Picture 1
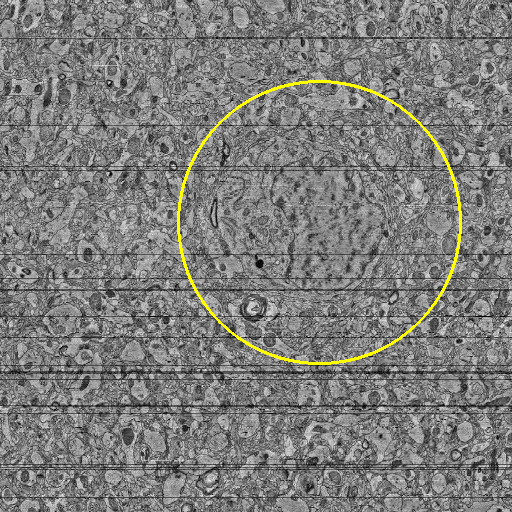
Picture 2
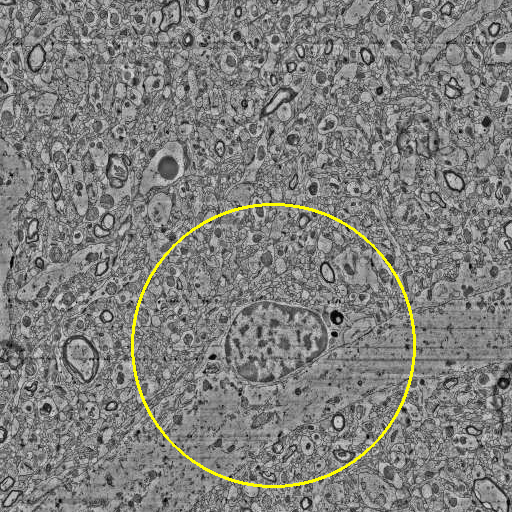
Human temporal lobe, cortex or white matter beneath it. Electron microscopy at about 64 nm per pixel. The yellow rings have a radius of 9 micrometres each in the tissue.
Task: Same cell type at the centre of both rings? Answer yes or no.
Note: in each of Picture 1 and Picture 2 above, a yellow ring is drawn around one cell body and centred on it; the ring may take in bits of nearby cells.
no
